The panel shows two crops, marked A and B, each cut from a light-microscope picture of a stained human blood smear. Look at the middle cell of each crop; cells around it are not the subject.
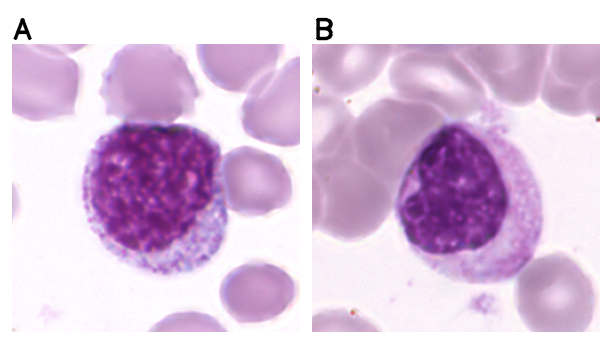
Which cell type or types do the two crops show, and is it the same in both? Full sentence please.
Yes, both the first crop and the second crop show metamyelocytes.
